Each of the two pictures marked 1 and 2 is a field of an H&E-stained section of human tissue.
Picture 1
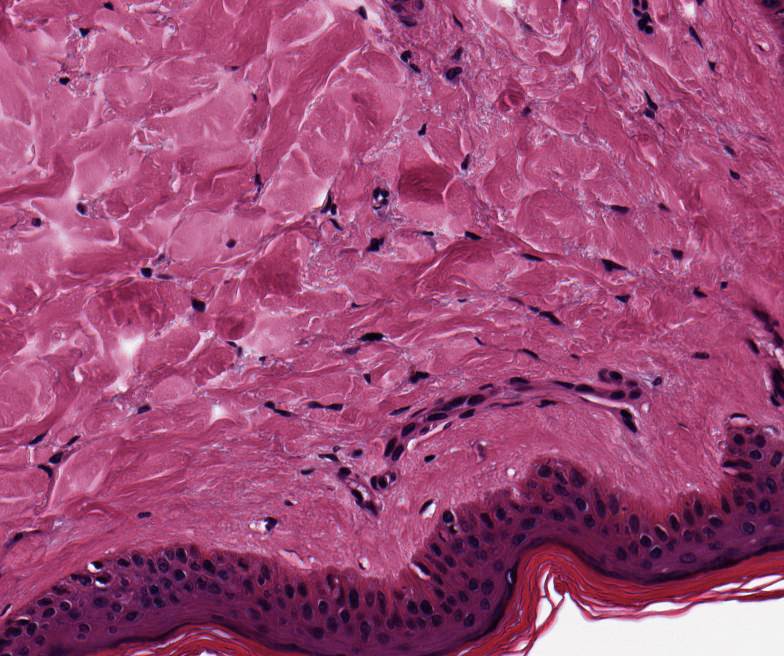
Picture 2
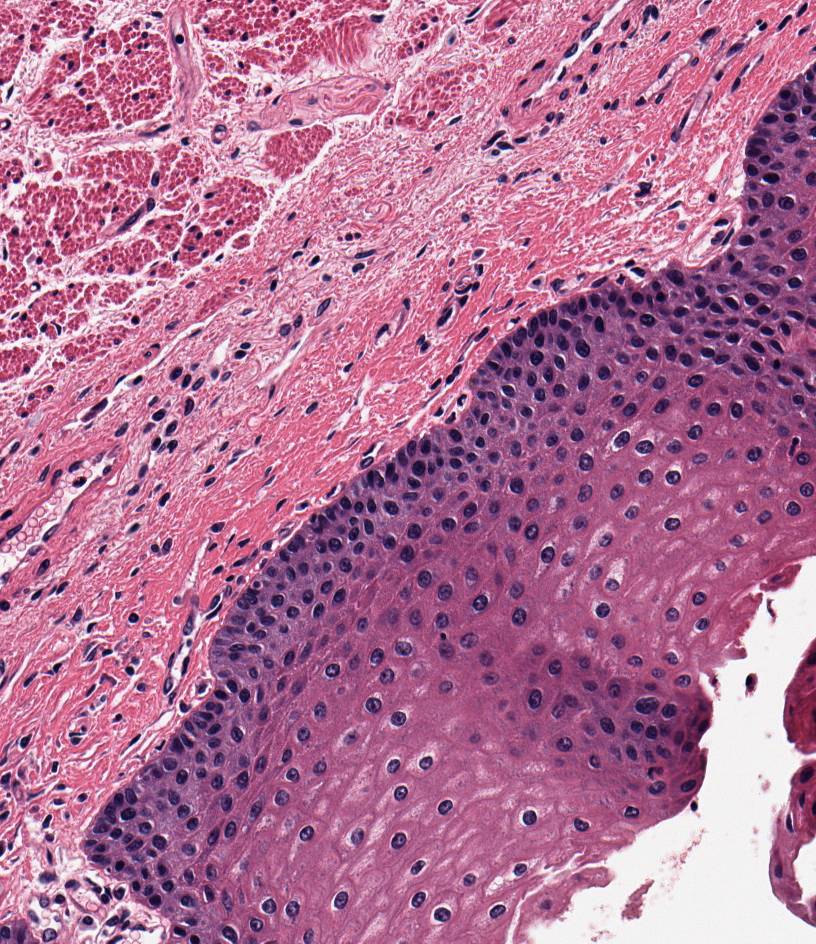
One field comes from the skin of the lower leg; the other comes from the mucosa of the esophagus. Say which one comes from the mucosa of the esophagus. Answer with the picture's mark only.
2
